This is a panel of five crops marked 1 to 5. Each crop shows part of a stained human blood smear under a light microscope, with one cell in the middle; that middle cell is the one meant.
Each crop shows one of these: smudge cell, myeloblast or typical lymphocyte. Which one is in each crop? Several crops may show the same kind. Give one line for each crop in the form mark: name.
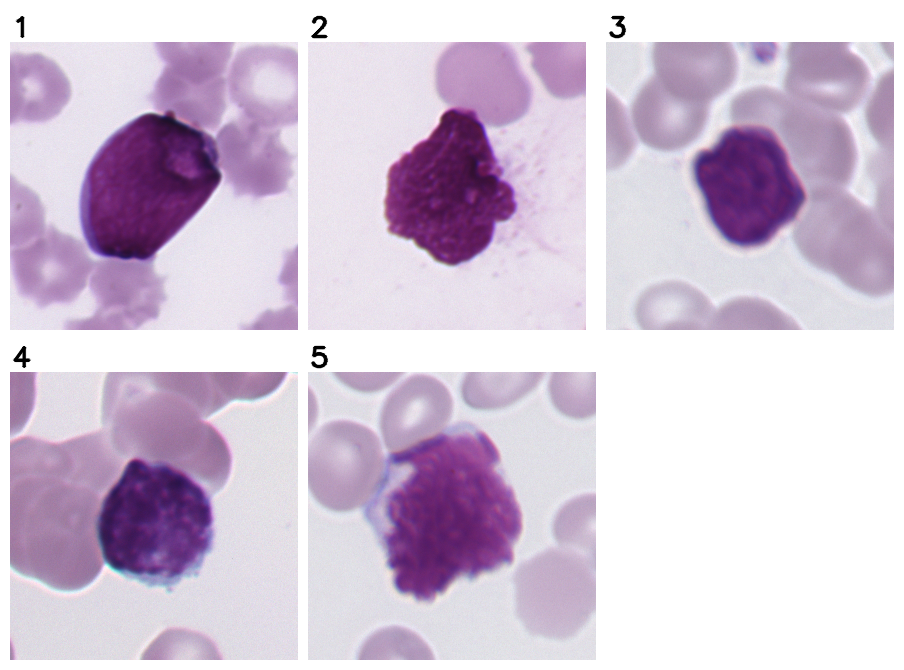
1: myeloblast
2: smudge cell
3: smudge cell
4: typical lymphocyte
5: smudge cell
